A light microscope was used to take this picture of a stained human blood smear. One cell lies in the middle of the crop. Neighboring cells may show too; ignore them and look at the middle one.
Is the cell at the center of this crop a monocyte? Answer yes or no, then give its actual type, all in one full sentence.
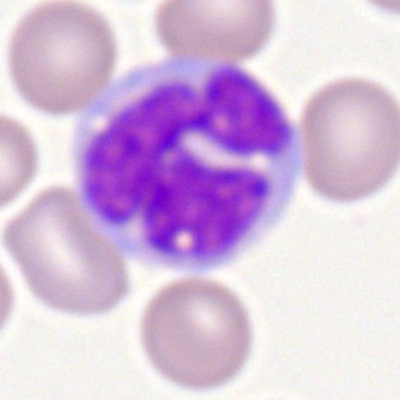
Yes, placed in the middle of the crop is a monocyte.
